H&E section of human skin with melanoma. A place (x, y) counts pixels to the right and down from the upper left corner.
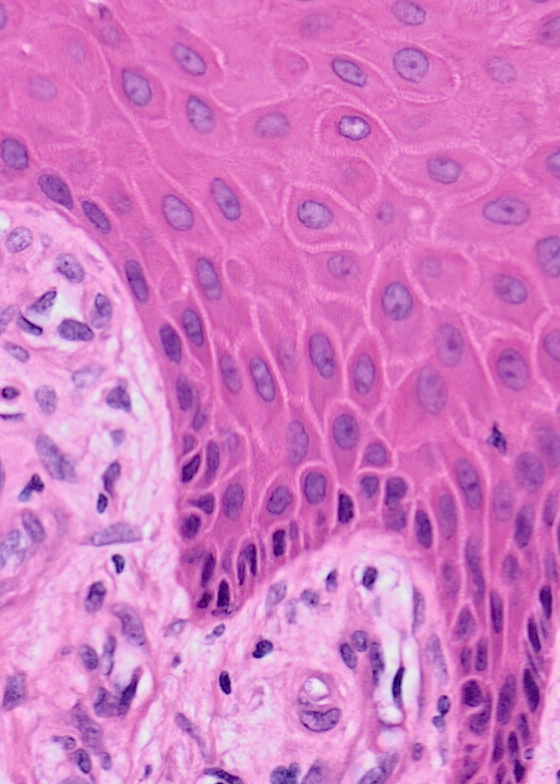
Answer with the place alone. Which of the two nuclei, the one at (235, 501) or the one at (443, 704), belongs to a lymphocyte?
(443, 704)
